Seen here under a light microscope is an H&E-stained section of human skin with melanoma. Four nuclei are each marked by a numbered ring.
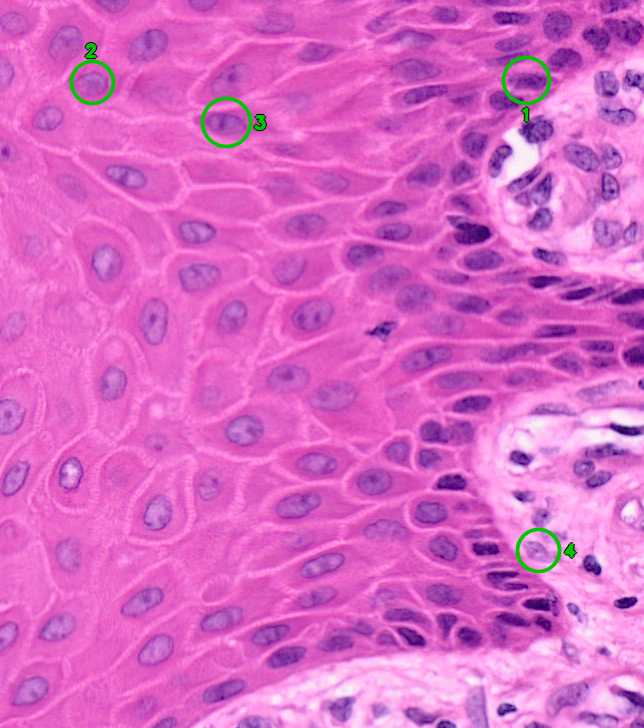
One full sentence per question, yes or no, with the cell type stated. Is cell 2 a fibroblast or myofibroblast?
No, it is a keratinocyte, not a fibroblast or myofibroblast, at number 2.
